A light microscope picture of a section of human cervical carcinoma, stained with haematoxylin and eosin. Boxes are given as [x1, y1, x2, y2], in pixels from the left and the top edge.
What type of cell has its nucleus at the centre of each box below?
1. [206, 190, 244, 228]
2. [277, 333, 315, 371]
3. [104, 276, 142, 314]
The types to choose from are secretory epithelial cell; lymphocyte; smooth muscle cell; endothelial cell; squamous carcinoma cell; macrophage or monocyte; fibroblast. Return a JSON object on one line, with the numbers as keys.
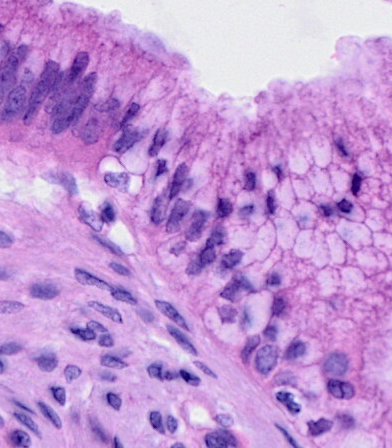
{"1": "secretory epithelial cell", "2": "secretory epithelial cell", "3": "fibroblast"}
